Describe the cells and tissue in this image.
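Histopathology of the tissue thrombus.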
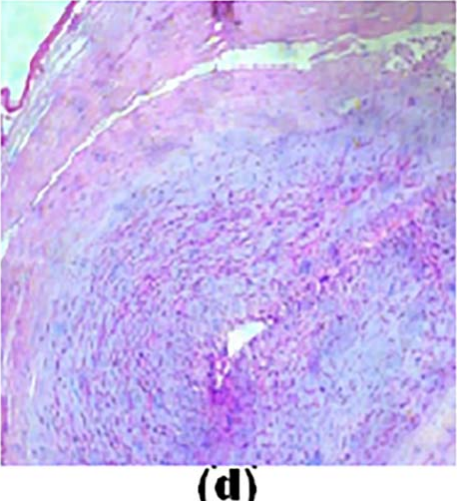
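A tissue fragment is shown at low magnification, stained pink and purple. A thin, more densely pink band runs along the upper left edge and is separated from the main mass by a narrow pale cleft. The main mass is a dense, fibrous tissue made of pink strands with many small dark purple nuclei scattered among them, and paler bluish areas in between. Toward the lower centre there is a small white slit-like space. No clear single cell borders can be made out at this scale; the tissue's fibrous texture and its arrangement are what the image shows.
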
